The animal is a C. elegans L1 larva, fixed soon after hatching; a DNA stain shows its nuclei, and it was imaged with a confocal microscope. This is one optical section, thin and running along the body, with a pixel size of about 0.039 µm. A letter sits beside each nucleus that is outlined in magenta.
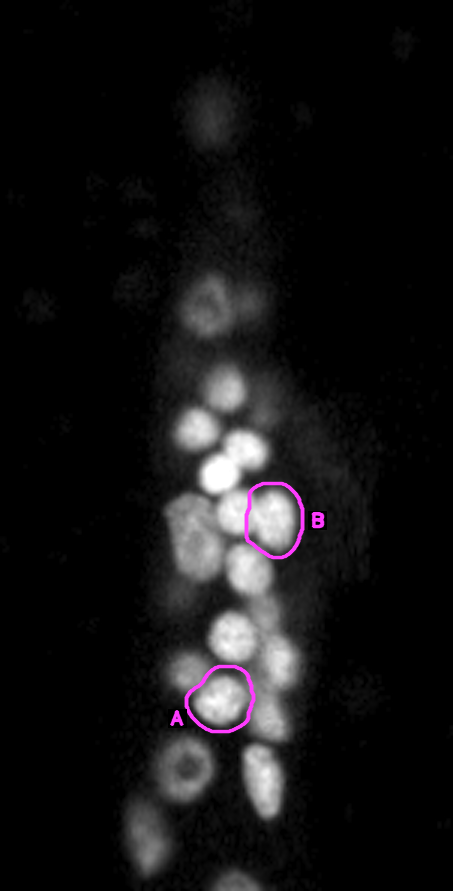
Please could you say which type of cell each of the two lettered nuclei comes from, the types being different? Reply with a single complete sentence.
A is in an enteric muscle cell and B is in a neuron.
